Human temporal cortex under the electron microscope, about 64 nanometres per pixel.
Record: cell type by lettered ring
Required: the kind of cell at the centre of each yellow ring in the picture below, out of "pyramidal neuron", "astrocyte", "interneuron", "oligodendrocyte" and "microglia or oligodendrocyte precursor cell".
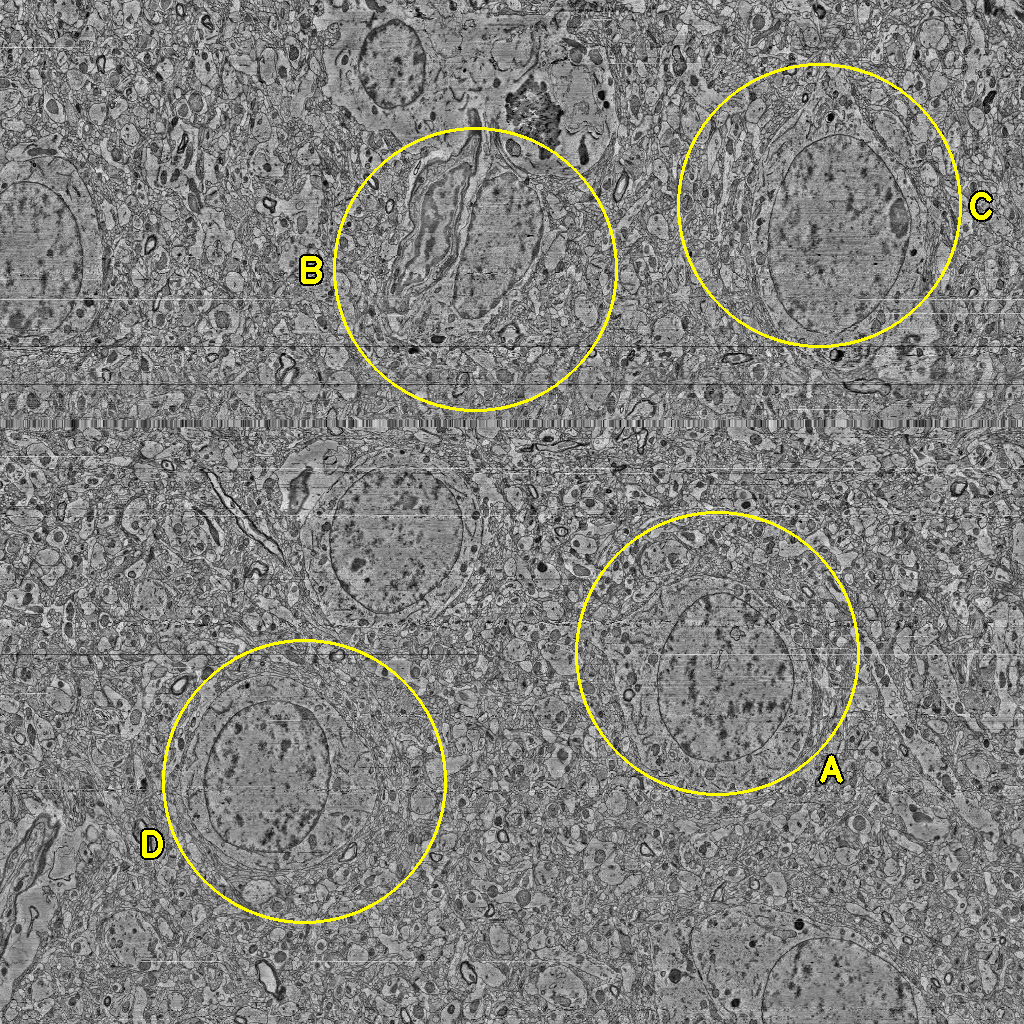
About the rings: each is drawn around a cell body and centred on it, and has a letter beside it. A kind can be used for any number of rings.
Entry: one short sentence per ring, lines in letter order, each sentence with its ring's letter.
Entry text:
At ring A we have a pyramidal neuron.
At ring B we have a microglial cell or oligodendrocyte precursor cell.
At ring C we have a pyramidal neuron.
At ring D we have a pyramidal neuron.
